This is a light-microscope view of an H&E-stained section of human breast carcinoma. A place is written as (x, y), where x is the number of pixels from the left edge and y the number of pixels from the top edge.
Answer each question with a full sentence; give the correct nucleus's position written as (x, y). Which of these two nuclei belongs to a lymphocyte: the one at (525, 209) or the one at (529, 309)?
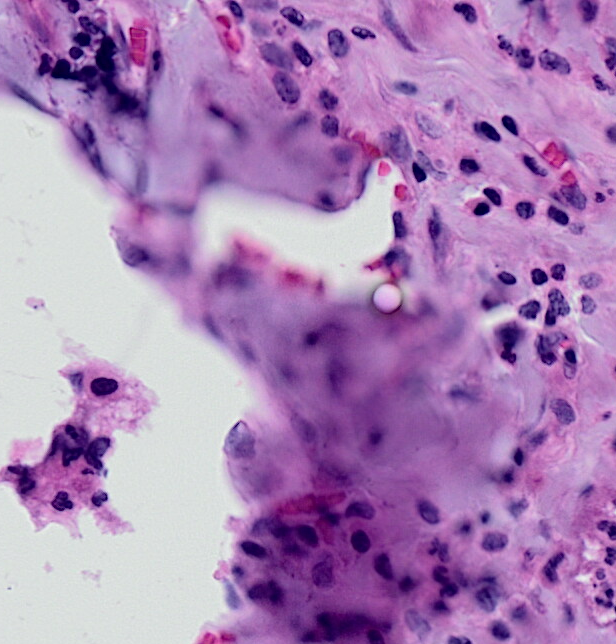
Of the pair, the nucleus positioned at (529, 309) is that of a lymphocyte.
